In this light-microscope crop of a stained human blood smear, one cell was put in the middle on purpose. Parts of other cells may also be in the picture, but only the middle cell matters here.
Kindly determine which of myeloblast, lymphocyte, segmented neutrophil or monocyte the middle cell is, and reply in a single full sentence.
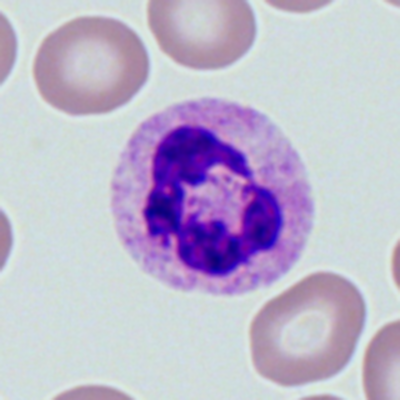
The crop's centre is taken up by a segmented neutrophil.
